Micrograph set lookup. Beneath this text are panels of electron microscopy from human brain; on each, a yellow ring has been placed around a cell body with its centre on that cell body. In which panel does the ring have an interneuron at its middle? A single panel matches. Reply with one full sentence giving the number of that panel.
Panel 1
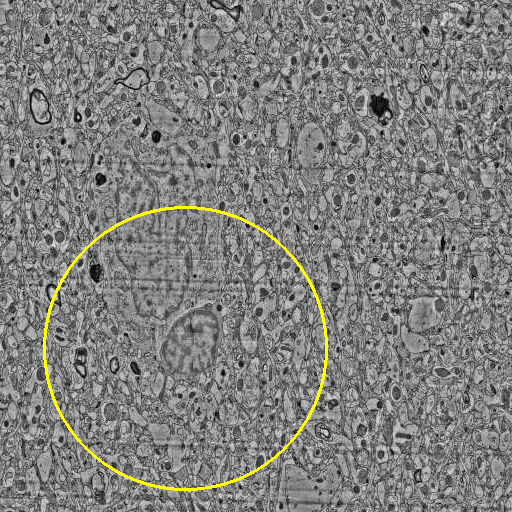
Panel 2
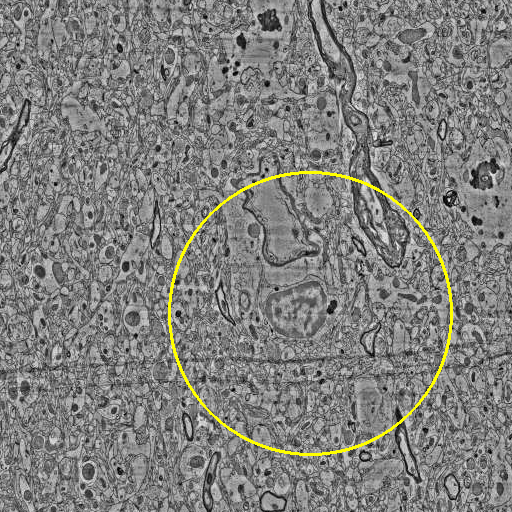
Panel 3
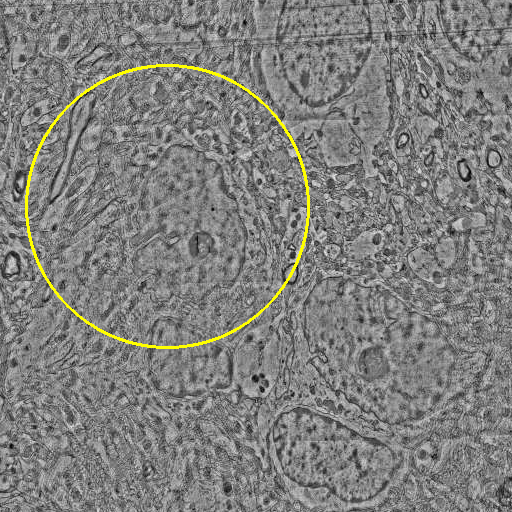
Panel 3 is the one whose ring has the sought cell at its centre.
